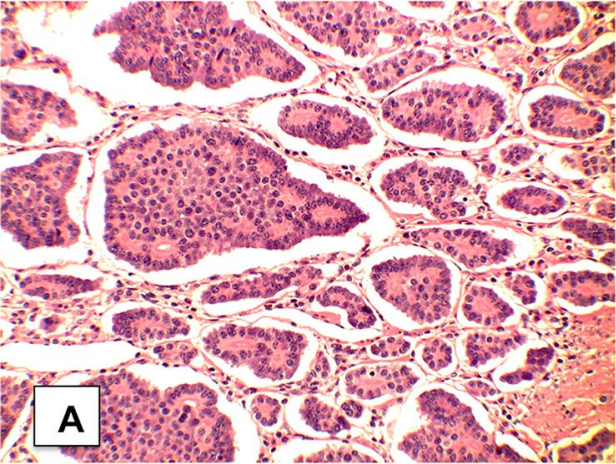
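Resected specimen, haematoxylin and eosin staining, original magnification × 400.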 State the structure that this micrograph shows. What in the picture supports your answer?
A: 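Organoid and trabecular patterns. Tumour cells lie in rounded nests and elongated cords. Thin fibrous stroma separates the nests. Cells are uniform with round nuclei.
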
